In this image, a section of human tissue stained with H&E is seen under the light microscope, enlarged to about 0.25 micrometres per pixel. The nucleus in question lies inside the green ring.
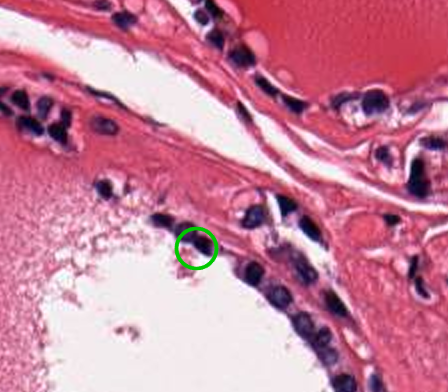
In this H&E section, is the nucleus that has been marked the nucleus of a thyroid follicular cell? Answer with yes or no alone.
yes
